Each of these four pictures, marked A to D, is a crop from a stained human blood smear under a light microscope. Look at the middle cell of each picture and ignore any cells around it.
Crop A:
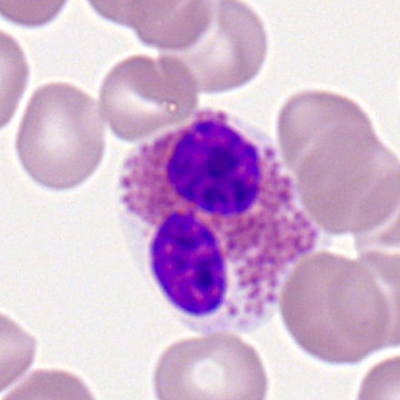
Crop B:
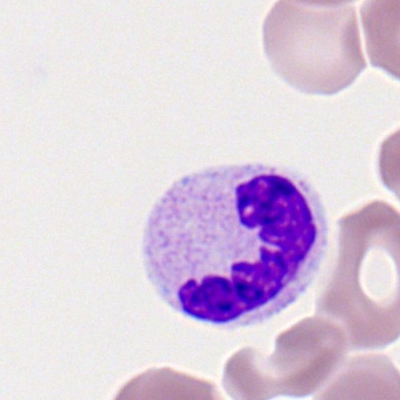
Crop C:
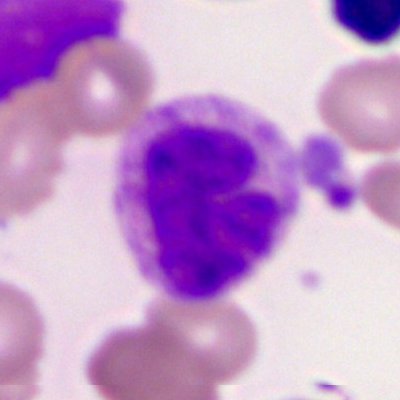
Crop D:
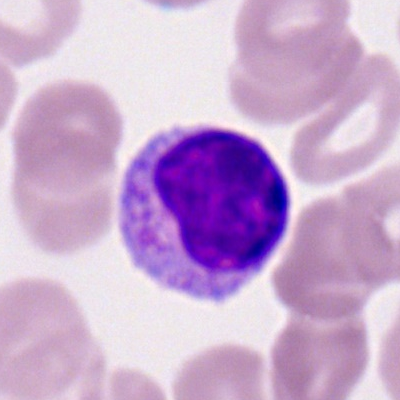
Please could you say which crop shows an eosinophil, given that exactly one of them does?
A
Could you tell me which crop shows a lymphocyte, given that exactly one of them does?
D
